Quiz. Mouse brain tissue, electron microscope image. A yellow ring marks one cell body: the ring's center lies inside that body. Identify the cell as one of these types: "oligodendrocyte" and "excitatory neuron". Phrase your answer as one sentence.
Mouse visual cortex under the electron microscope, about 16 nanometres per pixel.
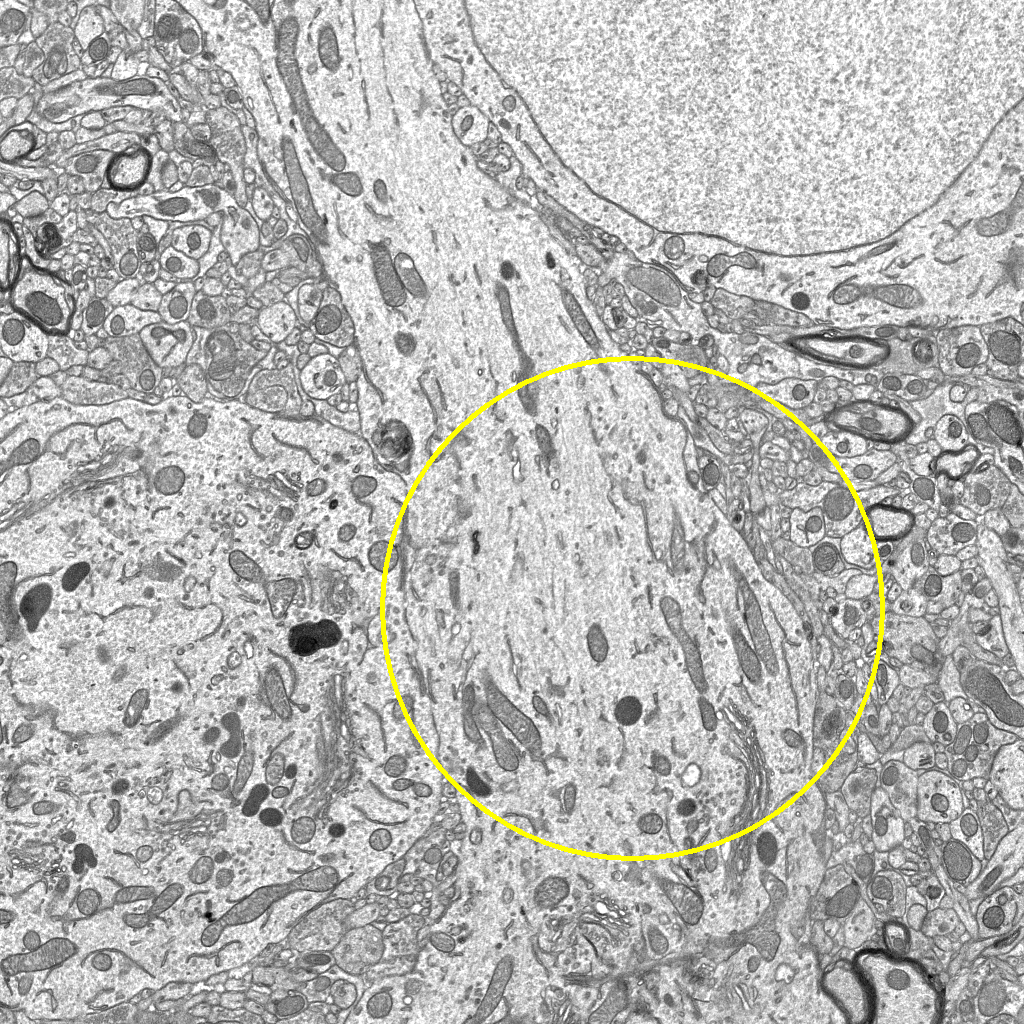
At the center of the ring sits an oligodendrocyte.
